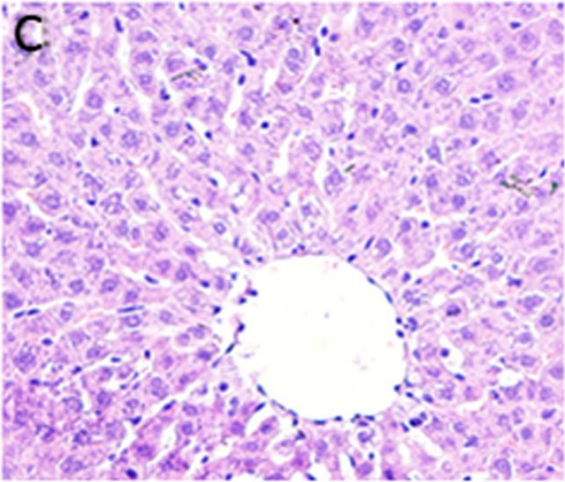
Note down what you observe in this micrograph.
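This is liver tissue with hepatocytes arranged in cords that radiate from a central vein. The hepatocytes are polygonal with pale pink-lilac cytoplasm and round, centrally placed nuclei with visible nucleoli. Thin sinusoids separate the cords, and small flattened dark nuclei line the vessel and sinusoids. The cytoplasm is evenly stained without vacuoles.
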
